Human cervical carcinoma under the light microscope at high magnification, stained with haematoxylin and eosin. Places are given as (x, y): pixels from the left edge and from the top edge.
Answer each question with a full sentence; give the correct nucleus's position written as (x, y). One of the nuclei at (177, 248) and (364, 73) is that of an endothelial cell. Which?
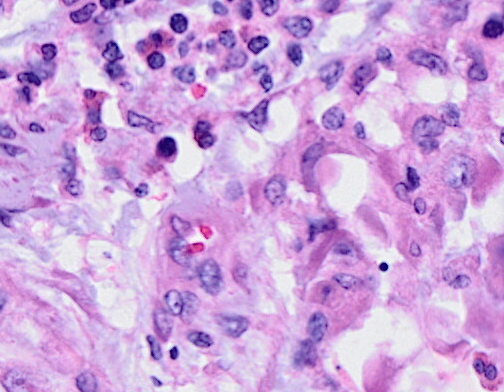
The nucleus at (177, 248) is the one of the two that belongs to an endothelial cell.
